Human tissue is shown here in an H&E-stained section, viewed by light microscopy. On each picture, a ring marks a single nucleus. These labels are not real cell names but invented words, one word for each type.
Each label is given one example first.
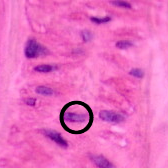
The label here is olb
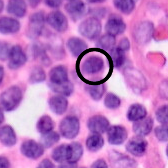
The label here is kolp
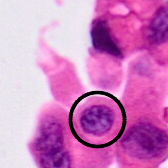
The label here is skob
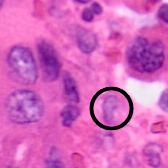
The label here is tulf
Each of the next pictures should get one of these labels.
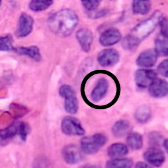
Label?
kolp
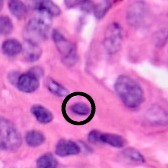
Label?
kolp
